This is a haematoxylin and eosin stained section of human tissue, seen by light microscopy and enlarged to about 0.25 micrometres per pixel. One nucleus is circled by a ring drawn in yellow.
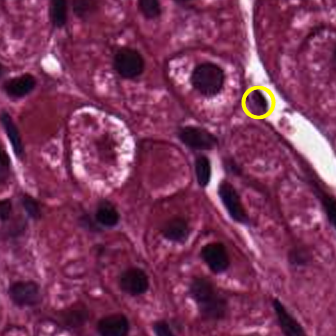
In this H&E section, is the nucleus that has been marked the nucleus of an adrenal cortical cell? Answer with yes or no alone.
no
